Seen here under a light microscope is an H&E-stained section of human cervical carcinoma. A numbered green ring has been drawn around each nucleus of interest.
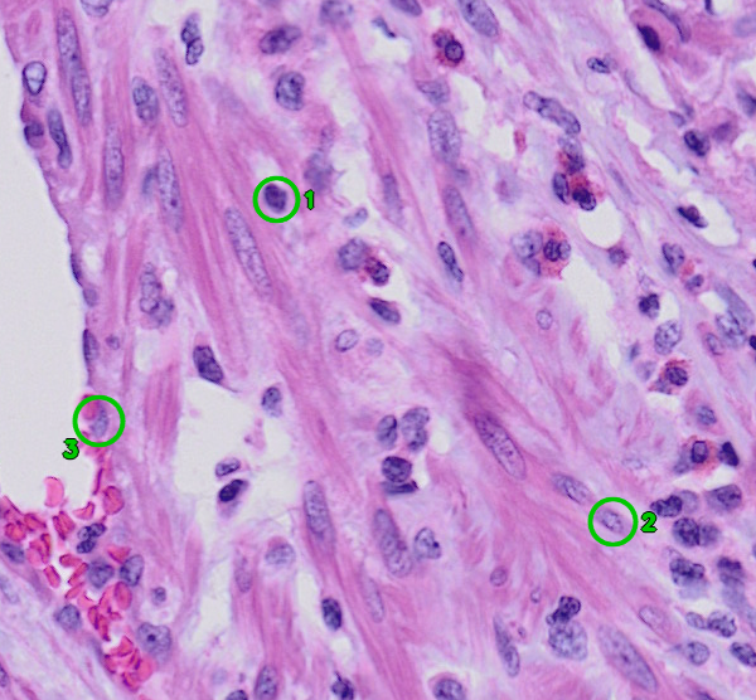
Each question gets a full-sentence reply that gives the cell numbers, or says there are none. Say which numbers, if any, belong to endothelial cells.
Among the cells marked with numbers, the only one that is an endothelial cell is number 3.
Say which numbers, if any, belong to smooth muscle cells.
Cell 2 is a smooth muscle cell, whereas each of the other numbered cells is not.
